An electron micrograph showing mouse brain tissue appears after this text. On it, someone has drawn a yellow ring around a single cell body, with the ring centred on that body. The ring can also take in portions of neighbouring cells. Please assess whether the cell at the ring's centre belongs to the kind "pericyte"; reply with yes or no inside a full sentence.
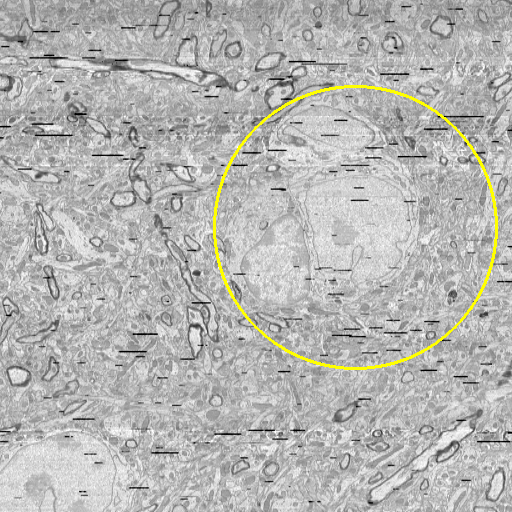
No, in this micrograph the cell at the centre of the ring is of another kind.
